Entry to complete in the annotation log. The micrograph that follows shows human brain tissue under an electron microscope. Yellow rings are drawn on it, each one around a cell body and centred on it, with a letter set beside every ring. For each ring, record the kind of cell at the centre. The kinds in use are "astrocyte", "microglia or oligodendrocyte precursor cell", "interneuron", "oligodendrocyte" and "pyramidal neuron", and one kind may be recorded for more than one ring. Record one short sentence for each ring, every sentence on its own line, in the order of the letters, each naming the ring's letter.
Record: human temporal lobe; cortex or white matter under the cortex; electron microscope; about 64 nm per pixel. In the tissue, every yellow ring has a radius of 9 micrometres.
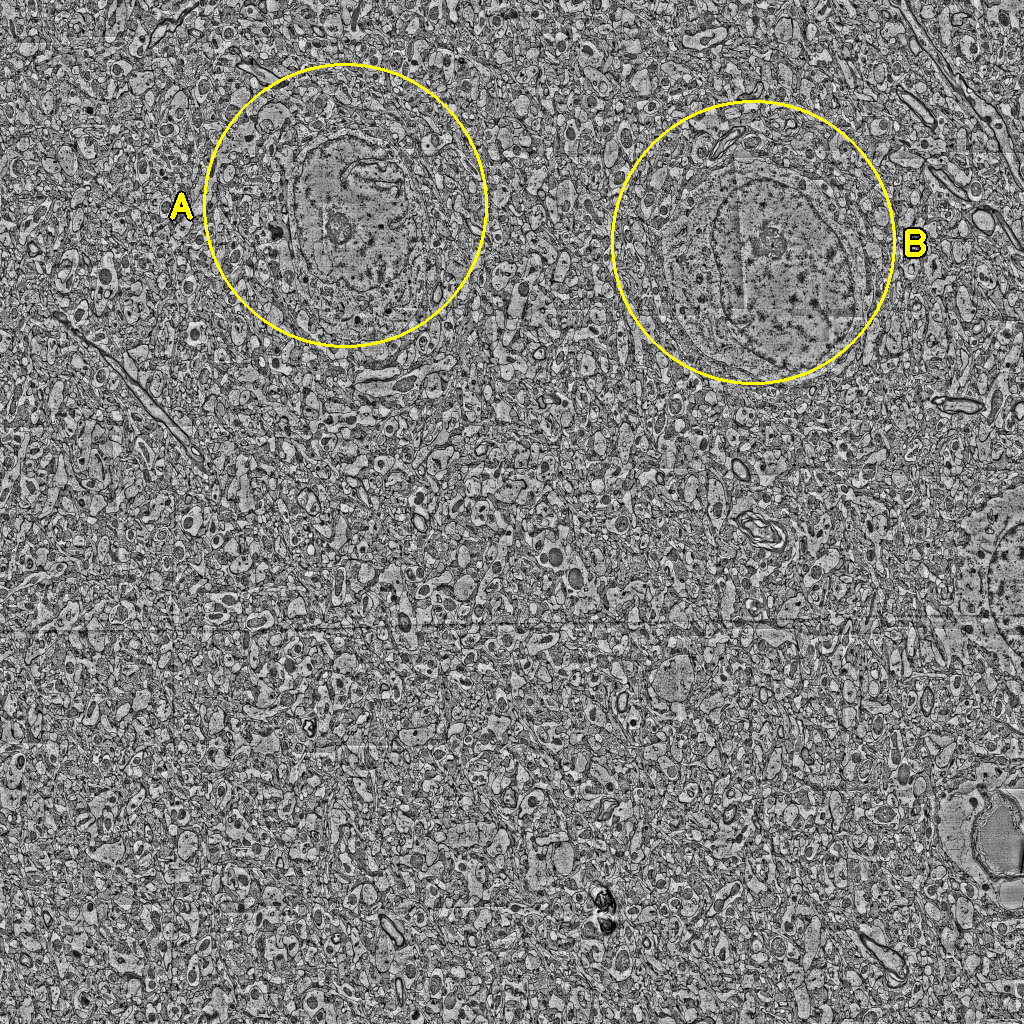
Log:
Ring A is placed around an interneuron.
Ring B is placed around an interneuron.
